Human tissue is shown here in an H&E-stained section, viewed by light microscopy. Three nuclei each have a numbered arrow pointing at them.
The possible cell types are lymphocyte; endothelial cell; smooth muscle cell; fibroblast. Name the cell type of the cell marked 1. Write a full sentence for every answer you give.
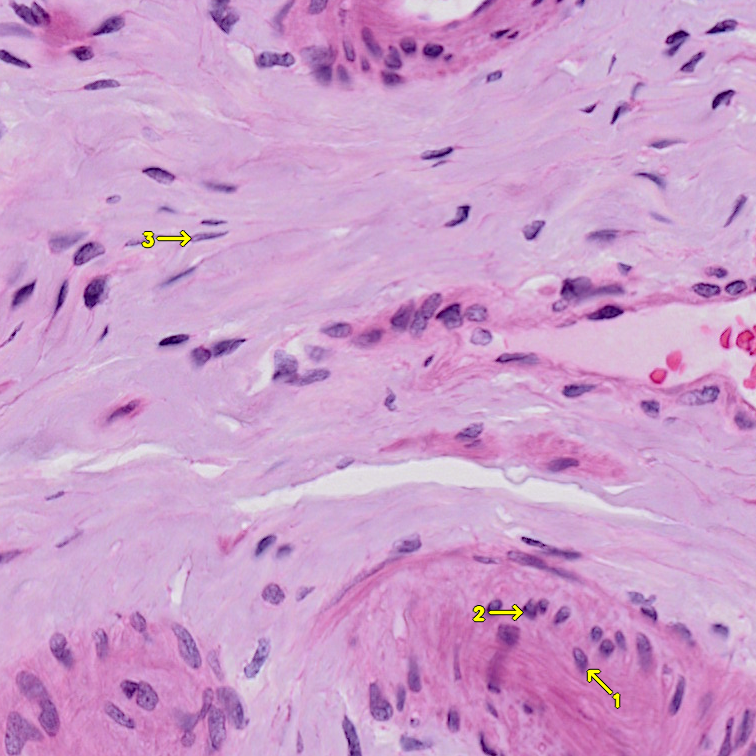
Cell 1, among those numbered, is a smooth muscle cell.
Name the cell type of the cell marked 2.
At number 2, the marked cell is a smooth muscle cell.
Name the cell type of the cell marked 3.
The cell marked with the number 3 is a fibroblast.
